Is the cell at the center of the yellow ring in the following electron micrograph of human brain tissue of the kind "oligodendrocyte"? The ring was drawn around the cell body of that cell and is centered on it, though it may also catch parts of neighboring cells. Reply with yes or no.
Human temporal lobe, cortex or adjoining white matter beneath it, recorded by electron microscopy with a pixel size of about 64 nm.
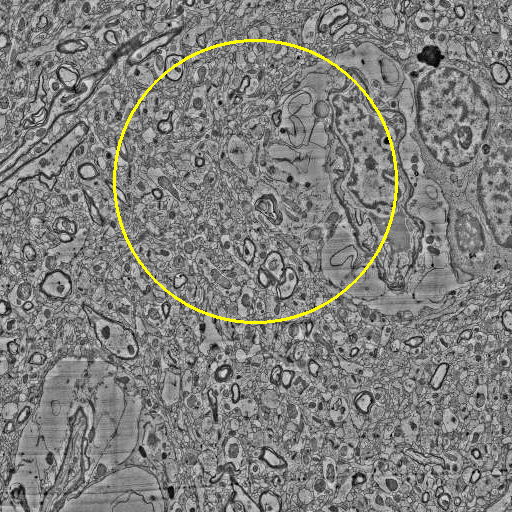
No, it is of another kind.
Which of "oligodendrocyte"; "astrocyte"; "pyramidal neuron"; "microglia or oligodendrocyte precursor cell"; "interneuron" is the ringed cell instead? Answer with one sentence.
Sitting at the ring centre is a microglial cell or oligodendrocyte precursor cell.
